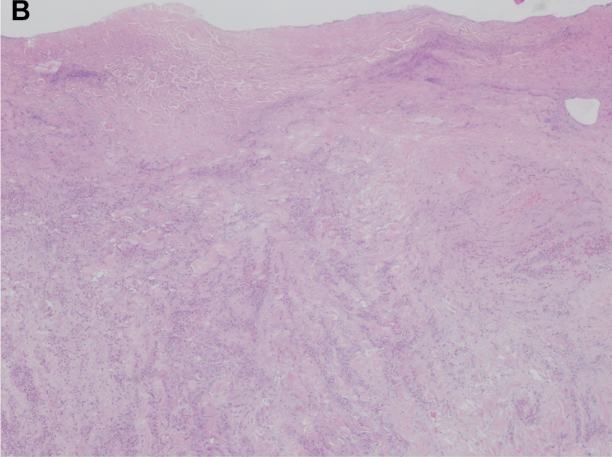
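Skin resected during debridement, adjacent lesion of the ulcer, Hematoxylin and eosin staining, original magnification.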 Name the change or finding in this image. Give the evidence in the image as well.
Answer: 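Many small dark-purple nuclei crowd the dermis in streaks and sheets. Pale pink acellular material lies between and above the infiltrate. No epidermal layer lines the surface.
Dense inflammatory cell infiltration.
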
